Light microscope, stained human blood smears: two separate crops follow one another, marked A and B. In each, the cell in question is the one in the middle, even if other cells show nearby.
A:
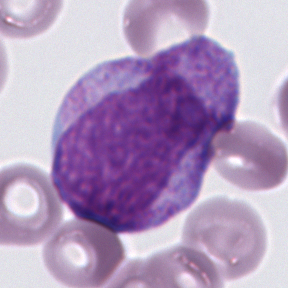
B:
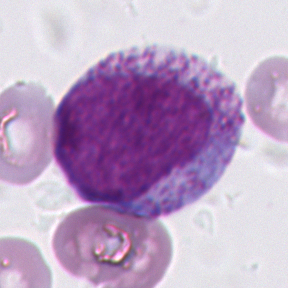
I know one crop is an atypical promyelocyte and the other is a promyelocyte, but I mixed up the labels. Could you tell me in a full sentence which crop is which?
The middle of crop A is occupied by an atypical promyelocyte, and the middle of crop B by a promyelocyte.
